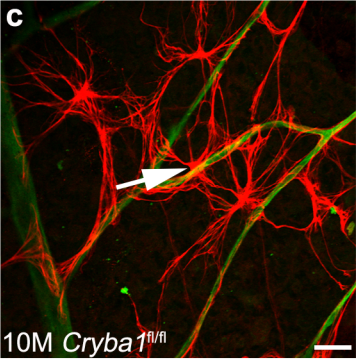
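This flat-mounted retina shows star-shaped astrocytes in red lying on green blood vessels. Each astrocyte has a small central body from which many long, thin, branching processes radiate. The processes reach out toward the vessels and end on them, running along the vessel walls as endfeet. The green vessels are smooth tubes crossing the field diagonally, with a larger vessel at the lower left. The astrocytes are spaced fairly evenly, forming an open network over and between the vessels.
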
